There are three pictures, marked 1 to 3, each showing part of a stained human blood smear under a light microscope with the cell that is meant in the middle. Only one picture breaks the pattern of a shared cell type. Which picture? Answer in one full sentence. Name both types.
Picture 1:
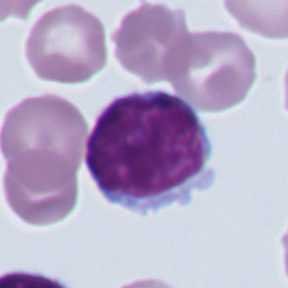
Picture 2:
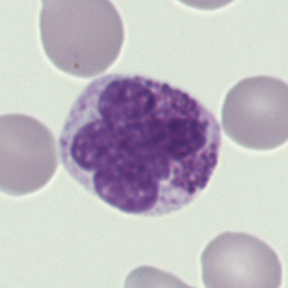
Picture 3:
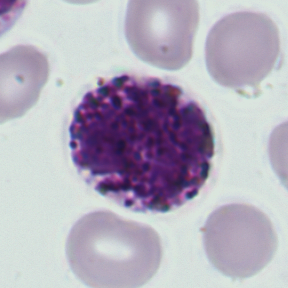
Picture 1 is the odd one out: it shows a typical lymphocyte, while the others show basophils.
